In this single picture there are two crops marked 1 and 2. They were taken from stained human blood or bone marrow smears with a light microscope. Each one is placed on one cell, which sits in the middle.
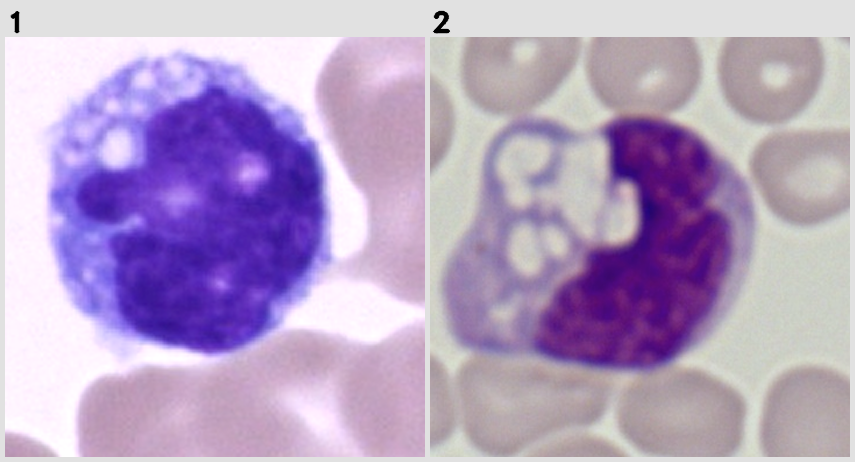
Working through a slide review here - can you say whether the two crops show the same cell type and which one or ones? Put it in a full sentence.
Yes, as an answer for this item, both crops show monocytes.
